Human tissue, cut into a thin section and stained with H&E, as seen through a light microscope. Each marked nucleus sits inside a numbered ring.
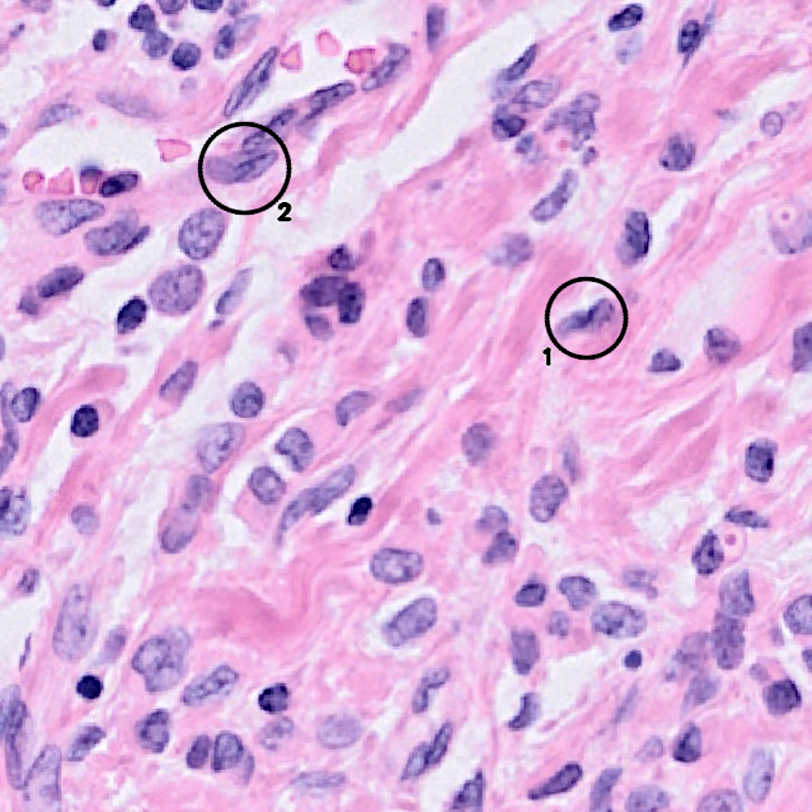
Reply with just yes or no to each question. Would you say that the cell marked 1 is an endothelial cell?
no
